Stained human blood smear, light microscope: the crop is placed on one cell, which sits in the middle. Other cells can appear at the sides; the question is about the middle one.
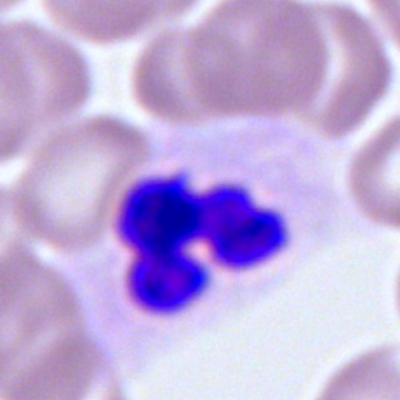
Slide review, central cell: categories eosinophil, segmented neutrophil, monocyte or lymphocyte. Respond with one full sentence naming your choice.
The centrally located cell in the crop is a segmented neutrophil.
